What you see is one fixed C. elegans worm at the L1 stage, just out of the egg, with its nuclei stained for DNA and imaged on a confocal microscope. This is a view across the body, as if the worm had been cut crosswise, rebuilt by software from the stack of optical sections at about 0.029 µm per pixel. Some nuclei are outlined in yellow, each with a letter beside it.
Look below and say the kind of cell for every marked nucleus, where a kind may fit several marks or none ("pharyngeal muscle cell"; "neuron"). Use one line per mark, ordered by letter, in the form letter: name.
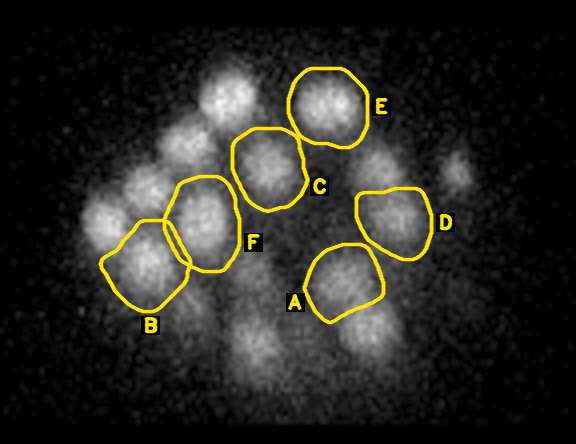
A: pharyngeal muscle cell
B: neuron
C: pharyngeal muscle cell
D: pharyngeal muscle cell
E: neuron
F: neuron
